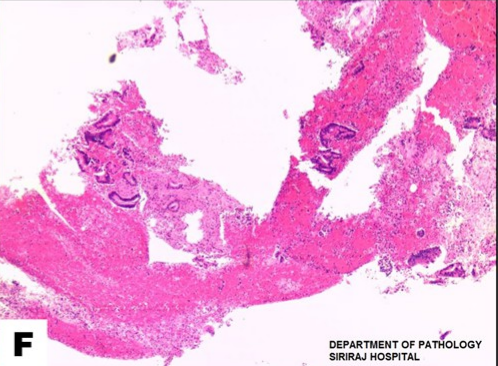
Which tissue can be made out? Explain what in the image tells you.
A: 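Blood clots. Large areas of uniform bright pink-red material without glands. These areas occupy much of the lower left of the section.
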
